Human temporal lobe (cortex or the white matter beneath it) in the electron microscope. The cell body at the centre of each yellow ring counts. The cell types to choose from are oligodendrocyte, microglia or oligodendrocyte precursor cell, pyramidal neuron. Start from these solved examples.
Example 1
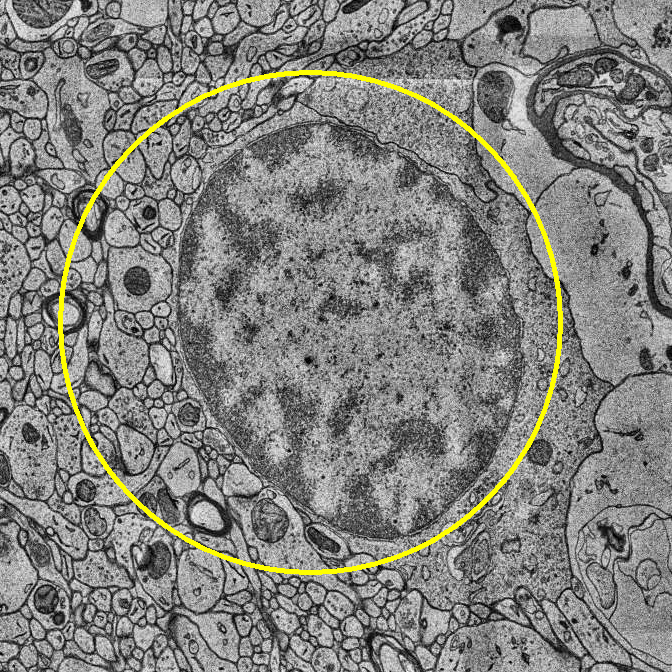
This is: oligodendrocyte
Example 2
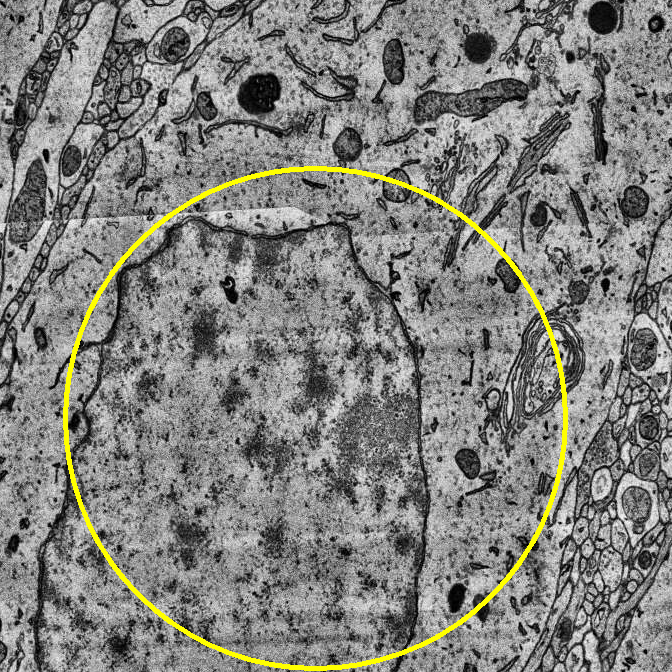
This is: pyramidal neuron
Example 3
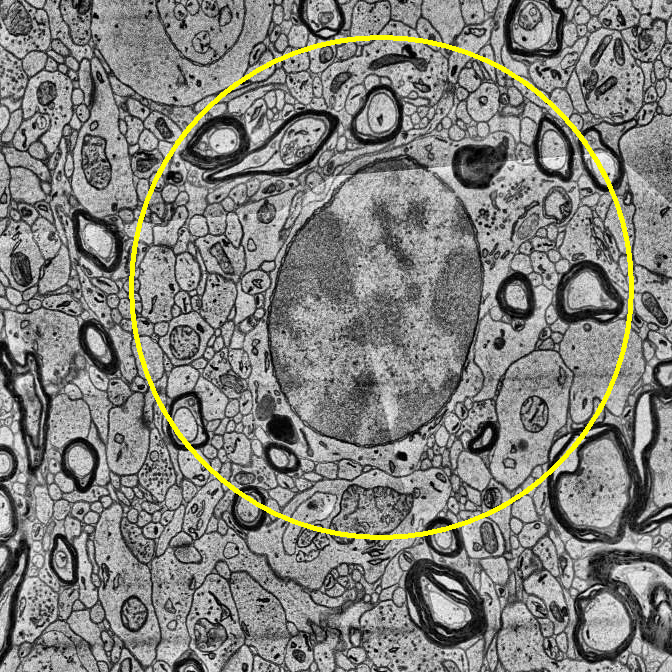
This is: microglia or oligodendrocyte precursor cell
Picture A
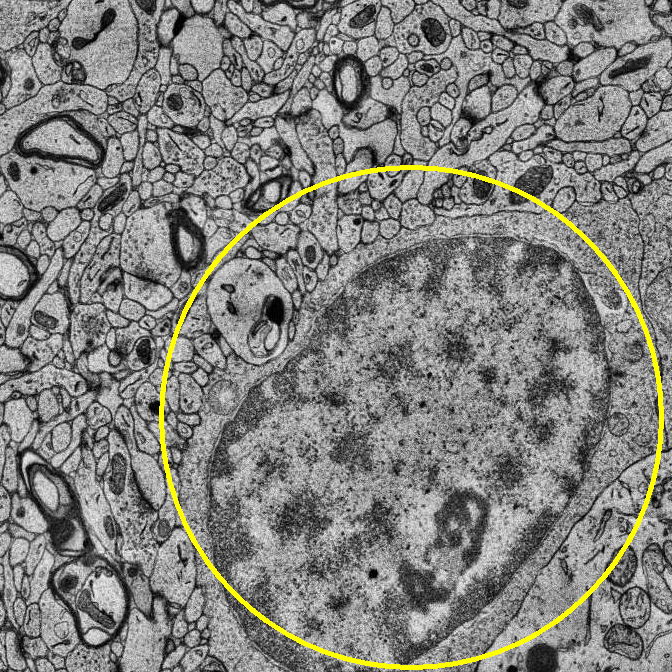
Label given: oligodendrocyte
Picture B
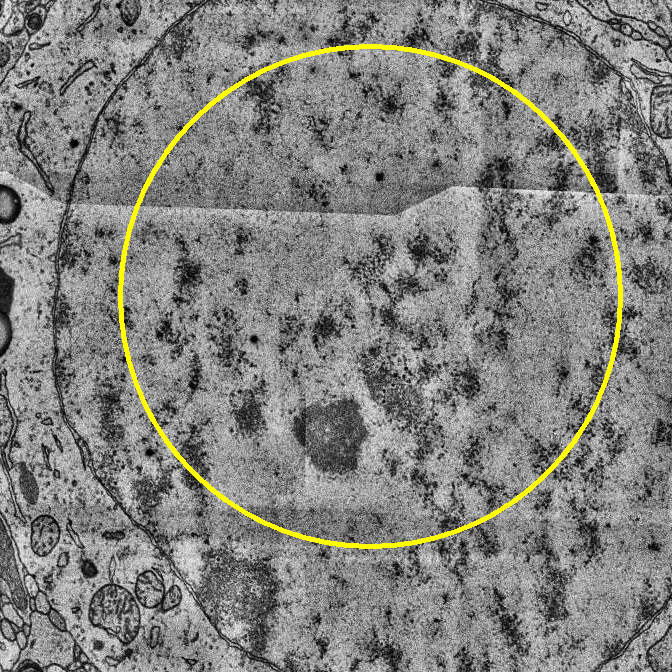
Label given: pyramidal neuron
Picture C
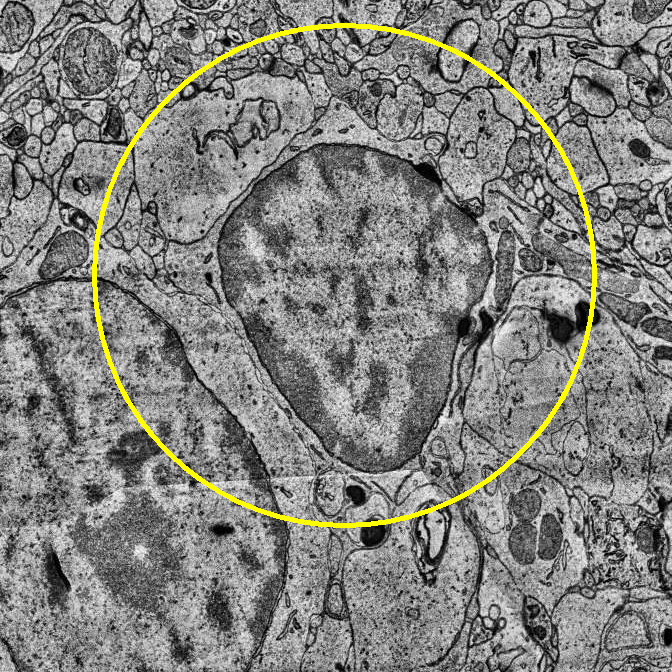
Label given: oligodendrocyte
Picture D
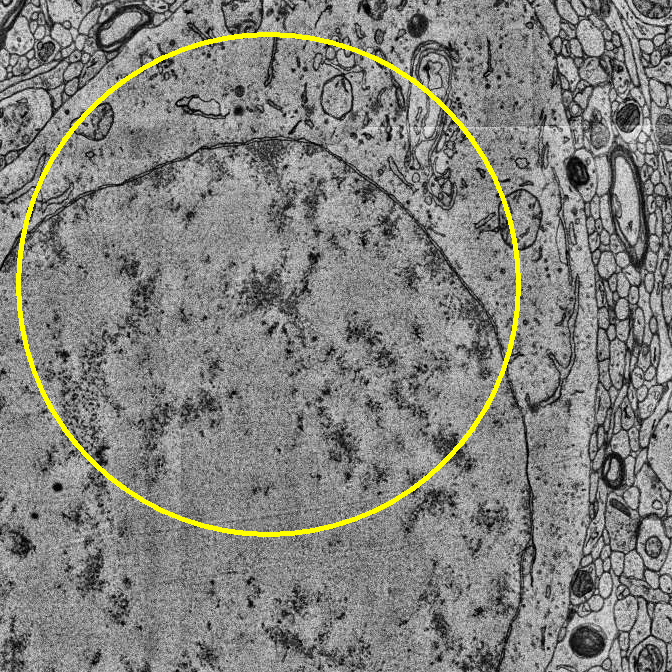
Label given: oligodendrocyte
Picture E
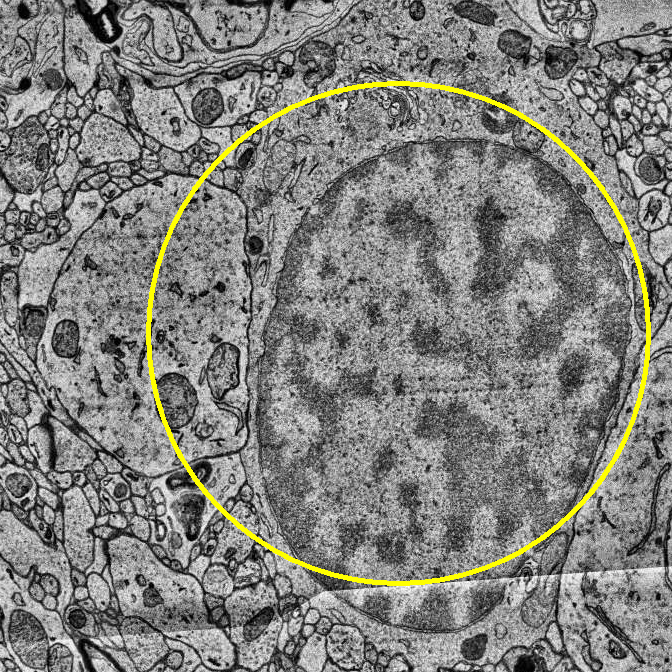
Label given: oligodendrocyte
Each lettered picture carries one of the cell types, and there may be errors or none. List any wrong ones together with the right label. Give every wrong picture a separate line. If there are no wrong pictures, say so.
C is labelled oligodendrocyte; correct label: microglia or oligodendrocyte precursor cell
D is labelled oligodendrocyte; correct label: pyramidal neuron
